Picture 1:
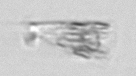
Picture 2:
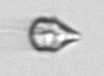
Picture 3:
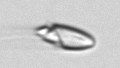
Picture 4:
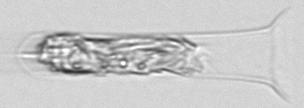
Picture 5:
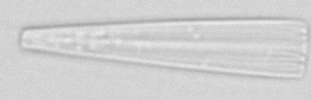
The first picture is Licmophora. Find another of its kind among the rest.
Picture 5.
